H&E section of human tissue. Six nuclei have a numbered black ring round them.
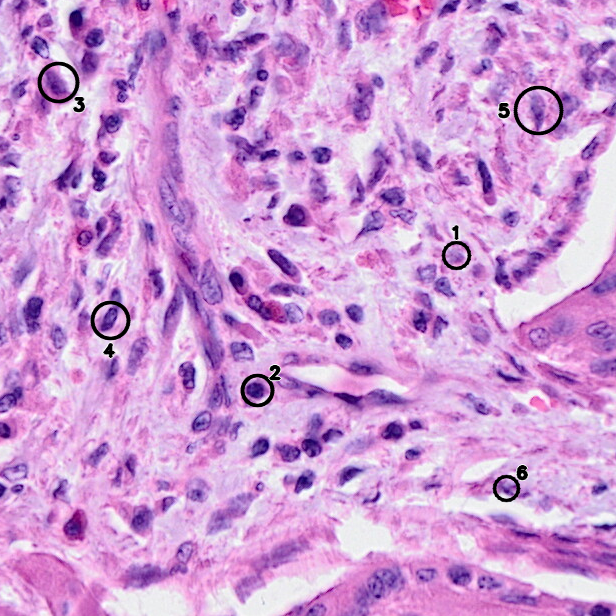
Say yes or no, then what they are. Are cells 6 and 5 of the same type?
Yes, in the case of cells 6 and 5, both are fibroblasts.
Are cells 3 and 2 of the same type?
No, a lymphocyte is what cell 2 is, while cell 3 is a macrophage or monocyte.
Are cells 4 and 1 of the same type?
No, in contrast to cell 1, which is a fibroblast, cell 4 is a lymphocyte.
